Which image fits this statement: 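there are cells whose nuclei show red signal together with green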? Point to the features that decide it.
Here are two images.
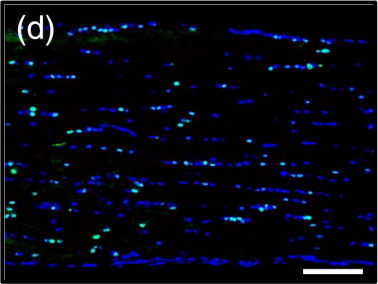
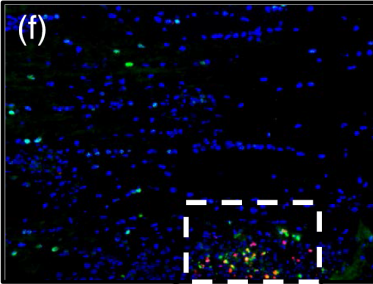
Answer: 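Second image: a cluster of red and yellow nuclei lies in the lower right among crowded blue nuclei. First image: only green and blue nuclei in rows, no red signal.
Conclusion: the second image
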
